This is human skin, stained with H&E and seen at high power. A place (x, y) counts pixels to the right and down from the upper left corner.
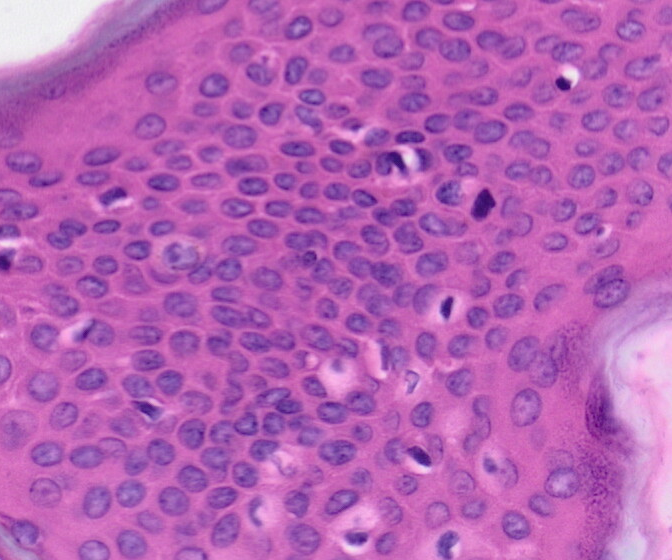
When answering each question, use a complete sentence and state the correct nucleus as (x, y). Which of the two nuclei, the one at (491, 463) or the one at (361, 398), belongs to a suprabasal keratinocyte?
The nucleus positioned at (491, 463) is the one that belongs to a suprabasal keratinocyte.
